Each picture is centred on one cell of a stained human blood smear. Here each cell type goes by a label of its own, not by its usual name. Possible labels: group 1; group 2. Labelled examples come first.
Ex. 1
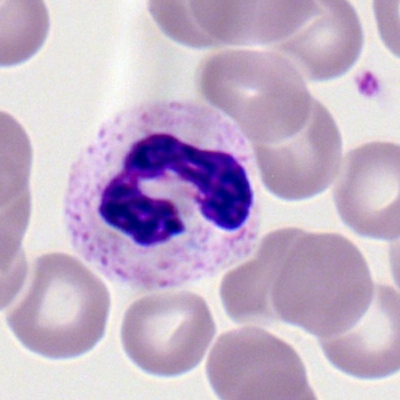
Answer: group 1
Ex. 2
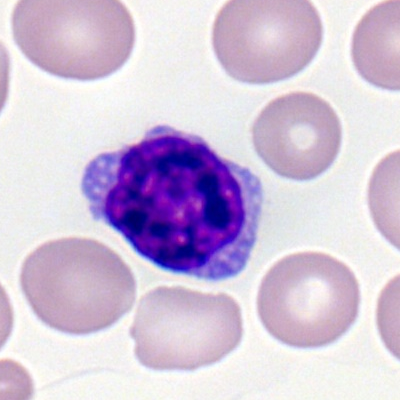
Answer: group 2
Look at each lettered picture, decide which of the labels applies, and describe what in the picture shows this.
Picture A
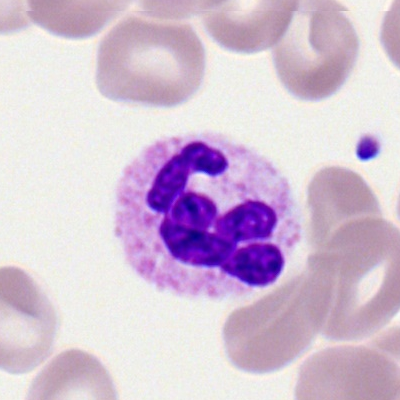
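Answer: group 1. The nucleus is divided into several separate lobes.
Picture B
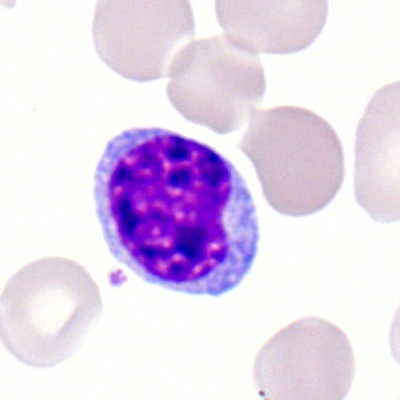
Answer: group 2. The nucleus fills most of the cell.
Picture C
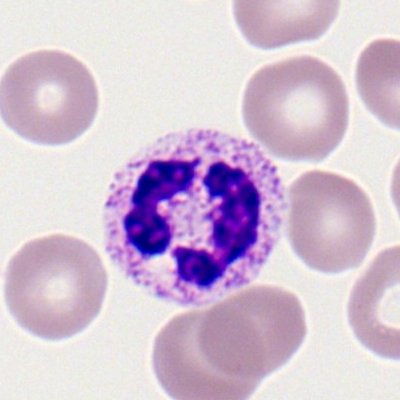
Answer: group 1. The nucleus is divided into several separate lobes.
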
